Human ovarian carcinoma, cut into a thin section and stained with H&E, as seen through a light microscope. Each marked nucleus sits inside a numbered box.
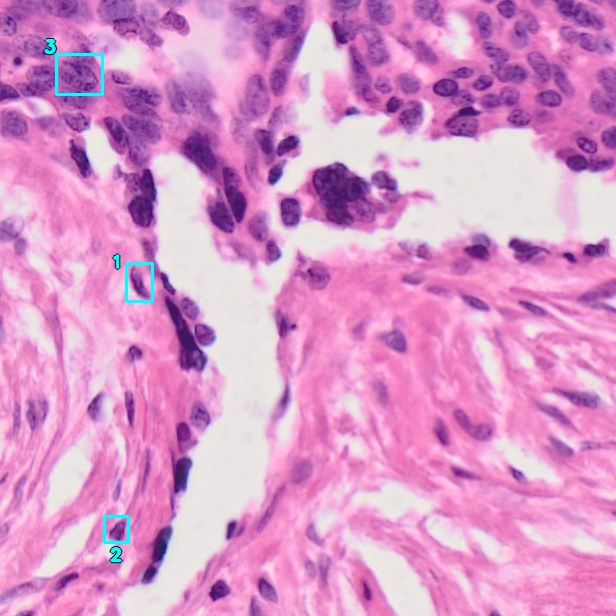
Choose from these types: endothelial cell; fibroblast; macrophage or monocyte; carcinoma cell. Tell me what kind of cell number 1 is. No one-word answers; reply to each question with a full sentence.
The cell pointed out as number 1 is a fibroblast.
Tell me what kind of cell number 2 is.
The nucleus labelled 2 belongs to a fibroblast.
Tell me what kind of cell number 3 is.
In the marked set, the cell given number 3 is a carcinoma cell.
